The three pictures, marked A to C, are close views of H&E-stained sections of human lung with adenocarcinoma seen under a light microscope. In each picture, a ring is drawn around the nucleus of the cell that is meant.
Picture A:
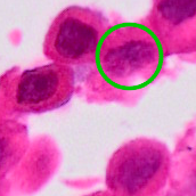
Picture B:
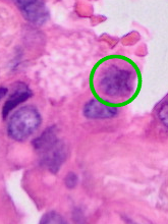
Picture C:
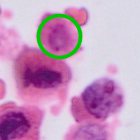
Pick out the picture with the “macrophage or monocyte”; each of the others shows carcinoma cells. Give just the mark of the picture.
C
